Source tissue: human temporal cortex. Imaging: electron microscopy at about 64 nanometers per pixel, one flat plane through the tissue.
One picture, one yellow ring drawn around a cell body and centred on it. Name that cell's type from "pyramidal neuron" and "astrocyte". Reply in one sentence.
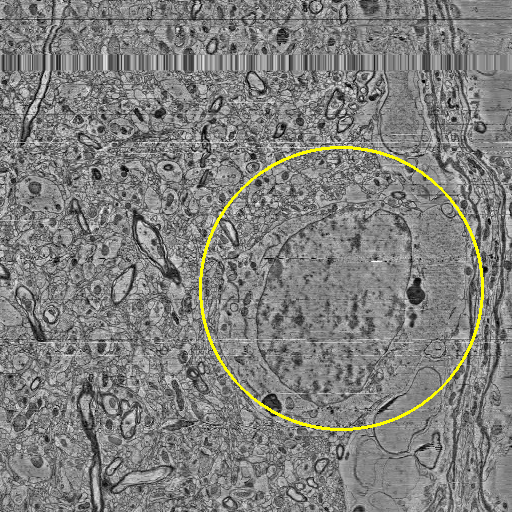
Centred in the ring is a pyramidal neuron.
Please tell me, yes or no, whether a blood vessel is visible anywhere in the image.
Yes, a blood vessel shows in the picture.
